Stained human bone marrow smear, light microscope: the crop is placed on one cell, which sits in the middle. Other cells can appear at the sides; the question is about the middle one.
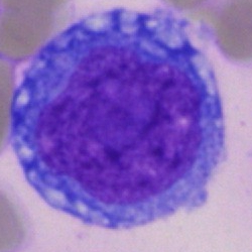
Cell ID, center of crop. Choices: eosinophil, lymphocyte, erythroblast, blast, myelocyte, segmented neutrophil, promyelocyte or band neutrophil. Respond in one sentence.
The cell found in the middle of this crop is a blast.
